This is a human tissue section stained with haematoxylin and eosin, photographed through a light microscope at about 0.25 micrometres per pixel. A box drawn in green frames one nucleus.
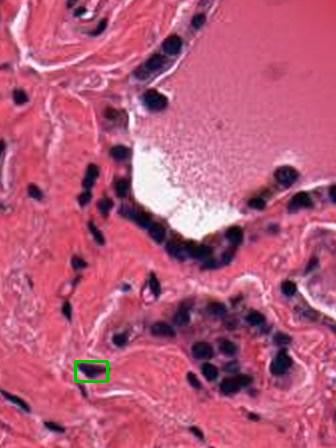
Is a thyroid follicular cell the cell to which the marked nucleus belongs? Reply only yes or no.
no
